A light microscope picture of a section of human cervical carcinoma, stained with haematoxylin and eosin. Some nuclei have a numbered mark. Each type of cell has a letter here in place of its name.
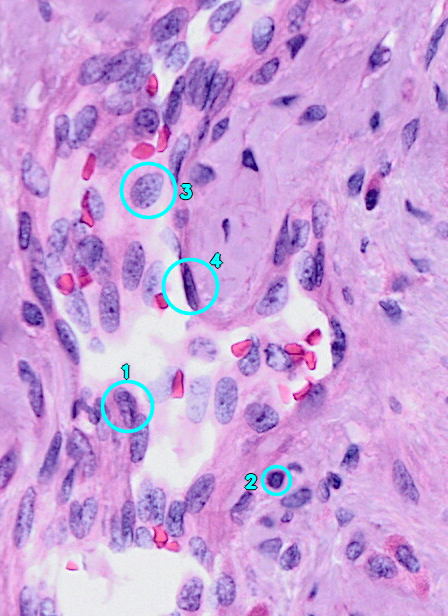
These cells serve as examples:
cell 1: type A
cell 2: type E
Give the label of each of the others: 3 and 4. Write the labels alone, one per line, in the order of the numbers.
type A
type A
